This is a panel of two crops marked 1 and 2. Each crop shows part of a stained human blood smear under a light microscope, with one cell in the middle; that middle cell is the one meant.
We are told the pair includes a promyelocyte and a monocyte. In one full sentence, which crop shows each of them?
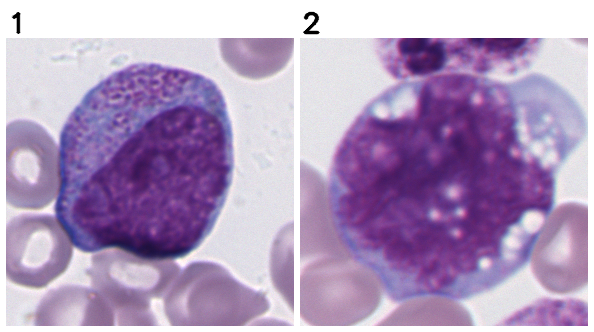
In crop 1, a promyelocyte is present; in crop 2, a monocyte is present.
